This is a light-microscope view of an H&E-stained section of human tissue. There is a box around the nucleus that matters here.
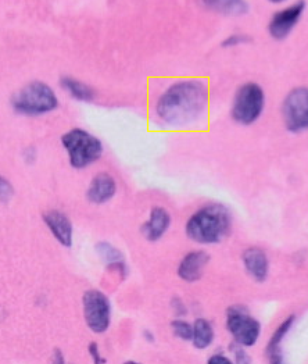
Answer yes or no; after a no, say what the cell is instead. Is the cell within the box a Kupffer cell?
No, it is a loop of Henle or distal tubule cell.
